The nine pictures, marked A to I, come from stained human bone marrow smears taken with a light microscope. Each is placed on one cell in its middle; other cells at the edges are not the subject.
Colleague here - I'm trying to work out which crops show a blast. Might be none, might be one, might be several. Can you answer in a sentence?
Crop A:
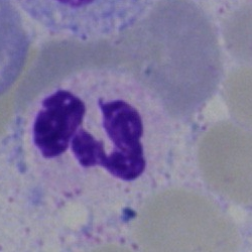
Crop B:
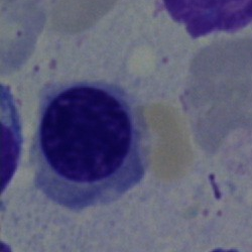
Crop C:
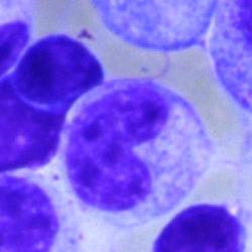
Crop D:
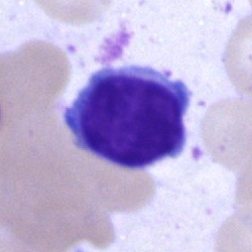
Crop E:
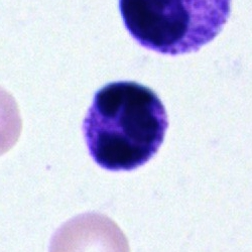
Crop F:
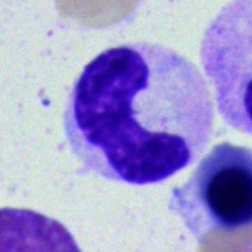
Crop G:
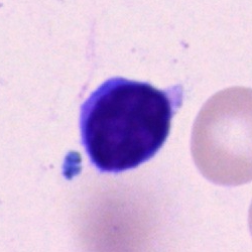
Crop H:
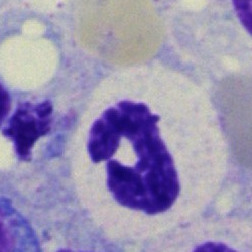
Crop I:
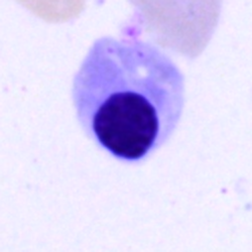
All the crops lack a blast at their centre.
